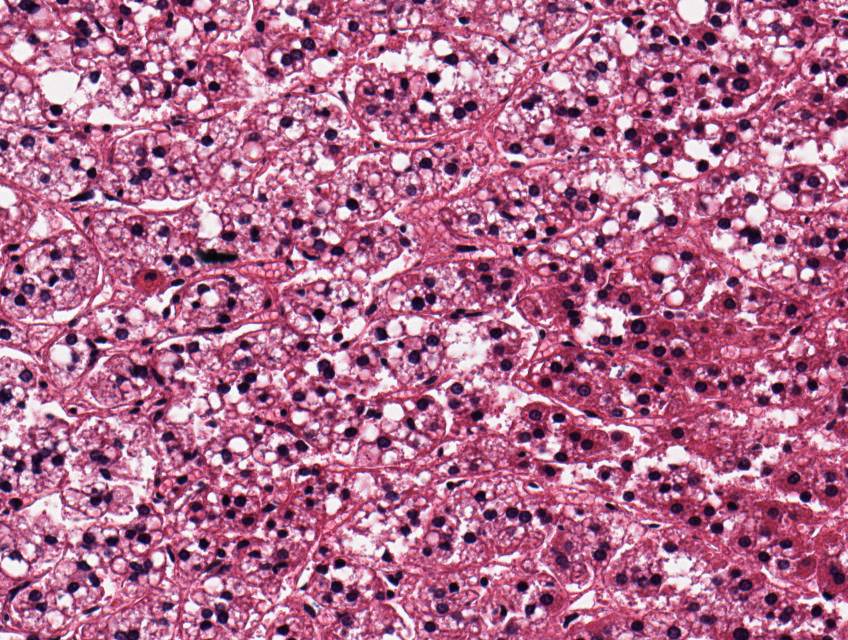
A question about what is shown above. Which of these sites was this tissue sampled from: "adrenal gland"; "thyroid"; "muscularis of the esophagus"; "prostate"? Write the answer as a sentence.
The site this tissue was sampled from is the adrenal gland.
